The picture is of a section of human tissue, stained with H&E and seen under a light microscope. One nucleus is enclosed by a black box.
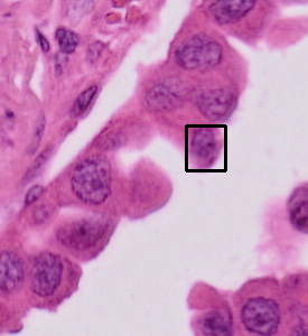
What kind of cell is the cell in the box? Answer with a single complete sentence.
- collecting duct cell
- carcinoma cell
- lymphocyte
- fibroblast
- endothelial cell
In this tissue sample, the cell in the box is a carcinoma cell.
